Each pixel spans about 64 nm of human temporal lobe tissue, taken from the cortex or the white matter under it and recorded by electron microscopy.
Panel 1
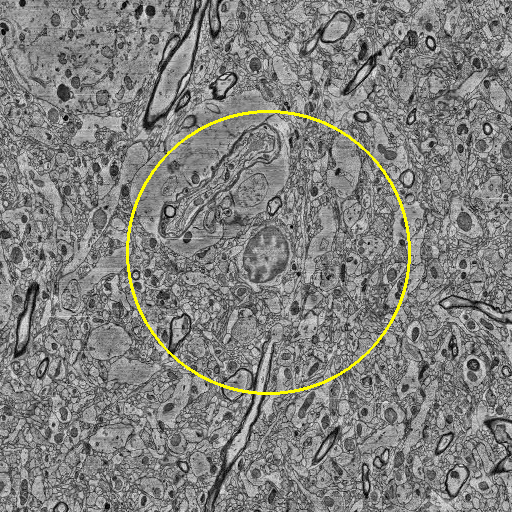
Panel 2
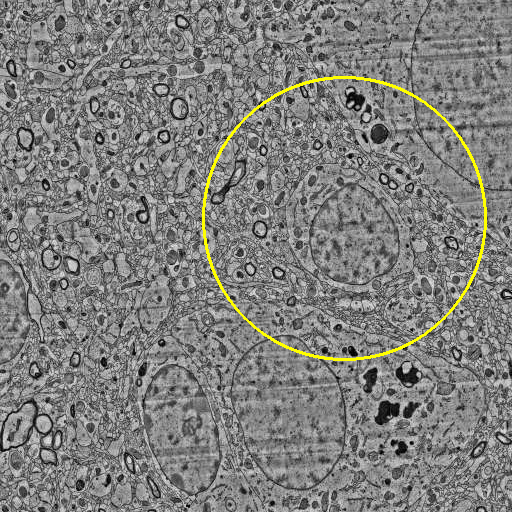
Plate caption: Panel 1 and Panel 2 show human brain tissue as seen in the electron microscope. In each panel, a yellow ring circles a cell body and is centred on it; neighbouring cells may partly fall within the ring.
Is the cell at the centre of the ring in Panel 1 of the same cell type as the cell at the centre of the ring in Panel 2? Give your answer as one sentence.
No, the two cells are of two types.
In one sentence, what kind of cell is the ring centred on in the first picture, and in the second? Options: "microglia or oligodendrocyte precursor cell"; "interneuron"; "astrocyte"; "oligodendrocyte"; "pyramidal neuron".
The cell at the centre of the second ring is an interneuron; the first ring's cell is a microglial cell or oligodendrocyte precursor cell.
